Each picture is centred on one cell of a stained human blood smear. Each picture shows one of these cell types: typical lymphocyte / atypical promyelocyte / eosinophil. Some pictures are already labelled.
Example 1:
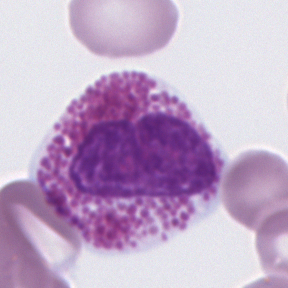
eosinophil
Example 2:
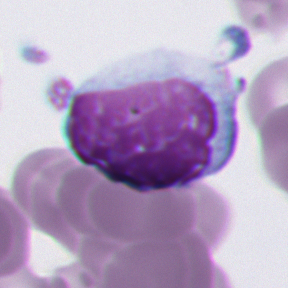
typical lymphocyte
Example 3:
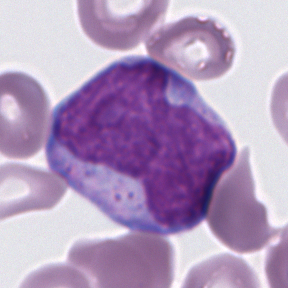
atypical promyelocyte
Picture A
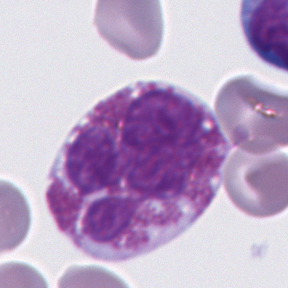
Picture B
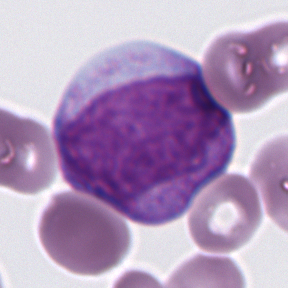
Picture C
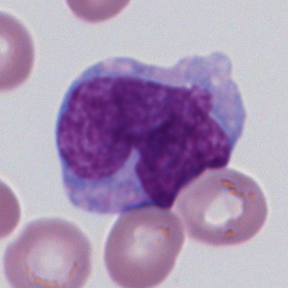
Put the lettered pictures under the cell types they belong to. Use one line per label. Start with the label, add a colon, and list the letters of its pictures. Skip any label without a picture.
atypical promyelocyte: B, C
eosinophil: A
